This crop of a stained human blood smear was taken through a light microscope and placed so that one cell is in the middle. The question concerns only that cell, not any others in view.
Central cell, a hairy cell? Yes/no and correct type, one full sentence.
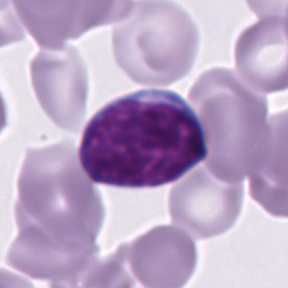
No, in this crop the middle cell is a typical lymphocyte, not a hairy cell.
